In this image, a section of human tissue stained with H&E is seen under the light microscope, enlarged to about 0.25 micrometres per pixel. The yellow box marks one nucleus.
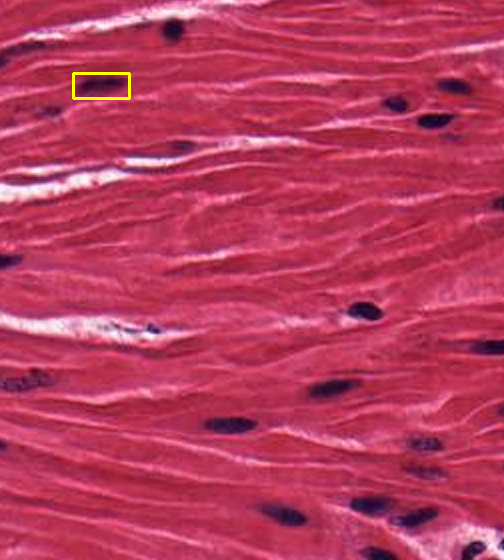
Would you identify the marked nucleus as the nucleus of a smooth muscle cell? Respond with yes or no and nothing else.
yes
